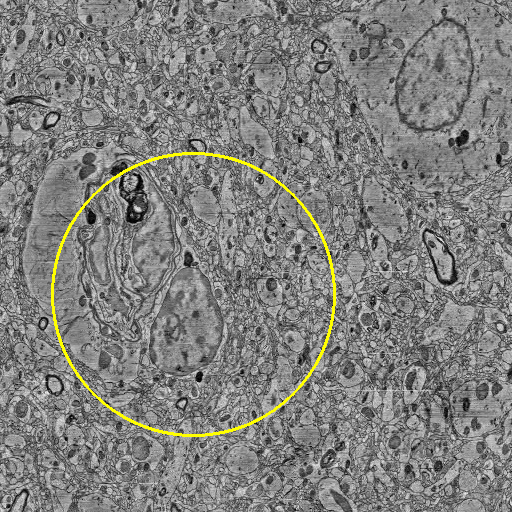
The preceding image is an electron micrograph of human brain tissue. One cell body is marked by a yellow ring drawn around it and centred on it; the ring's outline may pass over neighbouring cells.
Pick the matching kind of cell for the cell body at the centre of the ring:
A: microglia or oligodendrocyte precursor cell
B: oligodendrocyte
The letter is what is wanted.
A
